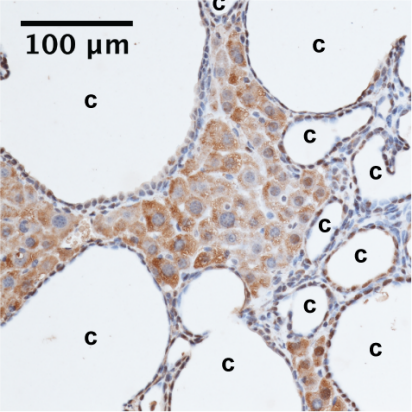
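This is liver in which many large and small empty cavities, cysts, take up much of the field, each lined by a single thin layer of epithelial cells. The lining cells are flattened and have dark, elongated nuclei that follow the curve of the cavity wall. Between the cysts lie islands of large polygonal liver cells with round nuclei and brownish cytoplasm, arranged in a compact mass. Small cysts cluster together on the right, separated only by thin strands of tissue with scattered blue nuclei. The normal orderly plates of liver tissue are largely displaced by these fluid spaces.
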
